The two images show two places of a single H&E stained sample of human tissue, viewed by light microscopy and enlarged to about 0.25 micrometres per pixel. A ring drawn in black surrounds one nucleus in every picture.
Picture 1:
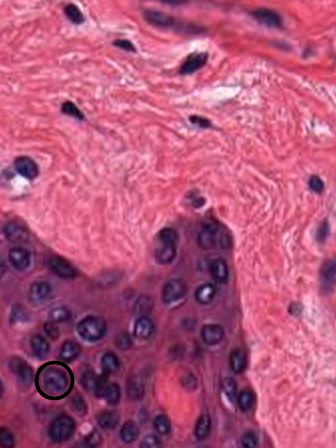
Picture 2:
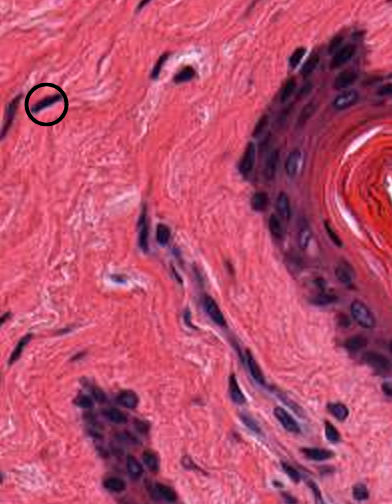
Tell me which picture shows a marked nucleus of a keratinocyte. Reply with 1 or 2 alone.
1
